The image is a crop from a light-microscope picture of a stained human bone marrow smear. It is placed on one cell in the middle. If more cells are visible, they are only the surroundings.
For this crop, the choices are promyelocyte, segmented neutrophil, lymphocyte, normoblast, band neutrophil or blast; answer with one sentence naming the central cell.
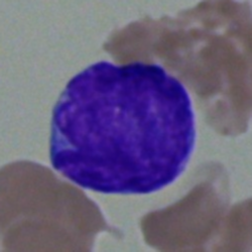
The crop's centre is taken up by a blast.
